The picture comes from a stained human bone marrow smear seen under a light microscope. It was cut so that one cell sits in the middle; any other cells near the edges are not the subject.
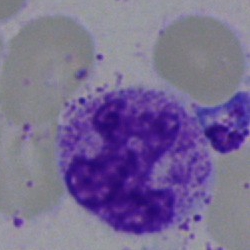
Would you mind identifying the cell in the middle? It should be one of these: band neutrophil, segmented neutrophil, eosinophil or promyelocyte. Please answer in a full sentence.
The centrally placed cell is classified as a segmented neutrophil.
